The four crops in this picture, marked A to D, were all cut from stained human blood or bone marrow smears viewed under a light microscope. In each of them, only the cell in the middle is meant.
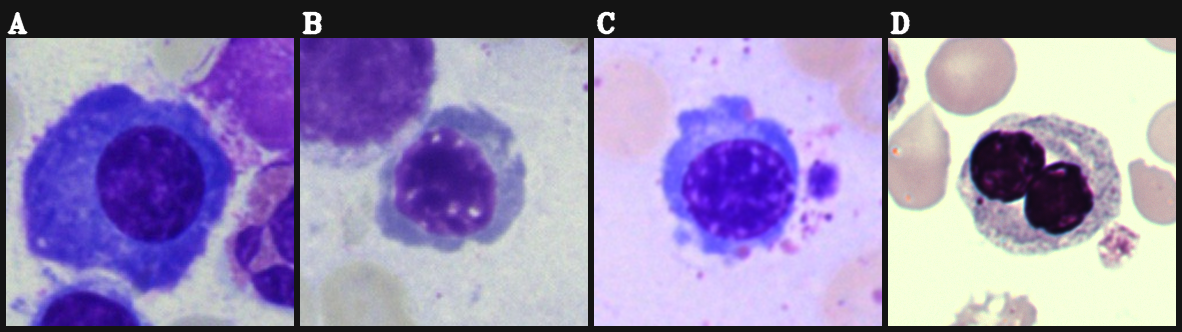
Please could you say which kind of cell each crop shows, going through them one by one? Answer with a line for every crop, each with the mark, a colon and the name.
A: plasma cell
B: erythroblast
C: erythroblast
D: erythroblast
